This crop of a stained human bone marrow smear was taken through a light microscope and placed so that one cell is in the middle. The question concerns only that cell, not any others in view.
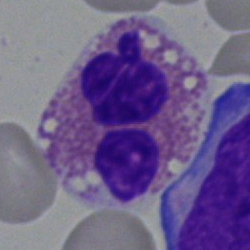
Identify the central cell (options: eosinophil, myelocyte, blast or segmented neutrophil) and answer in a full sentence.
The middle cell in this particular crop is an eosinophil.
